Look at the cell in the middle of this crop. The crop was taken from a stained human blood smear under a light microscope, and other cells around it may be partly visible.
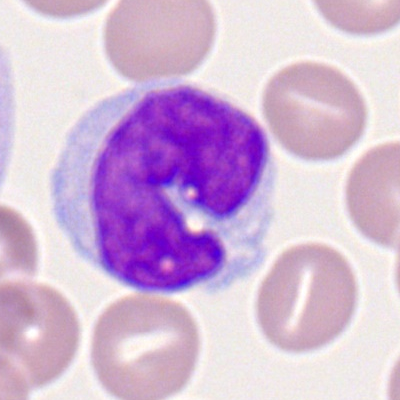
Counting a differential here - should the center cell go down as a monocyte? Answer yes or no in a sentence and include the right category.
Yes, the cell occupying the center is a monocyte.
